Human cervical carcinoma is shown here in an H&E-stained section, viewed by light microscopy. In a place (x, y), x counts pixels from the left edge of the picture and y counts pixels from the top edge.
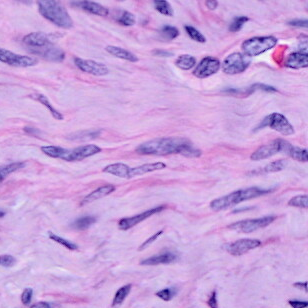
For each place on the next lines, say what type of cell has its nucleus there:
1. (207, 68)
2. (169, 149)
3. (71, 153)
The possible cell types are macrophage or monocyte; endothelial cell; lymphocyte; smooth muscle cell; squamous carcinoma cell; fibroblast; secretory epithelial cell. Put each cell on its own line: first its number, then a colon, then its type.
1: endothelial cell
2: smooth muscle cell
3: smooth muscle cell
